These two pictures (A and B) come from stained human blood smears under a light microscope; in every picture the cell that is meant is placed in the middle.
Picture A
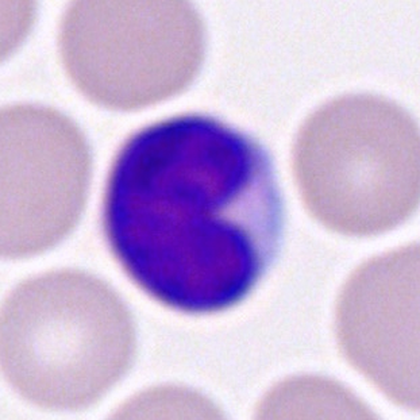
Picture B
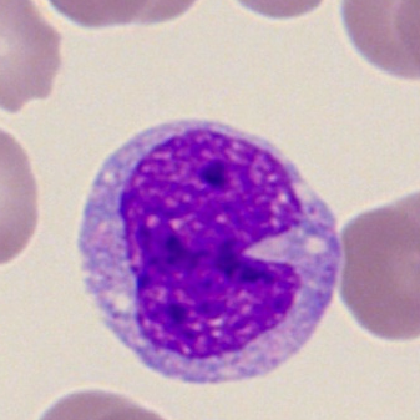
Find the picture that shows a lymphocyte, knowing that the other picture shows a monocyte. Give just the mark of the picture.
A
